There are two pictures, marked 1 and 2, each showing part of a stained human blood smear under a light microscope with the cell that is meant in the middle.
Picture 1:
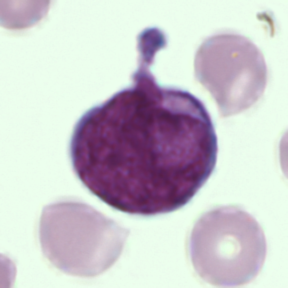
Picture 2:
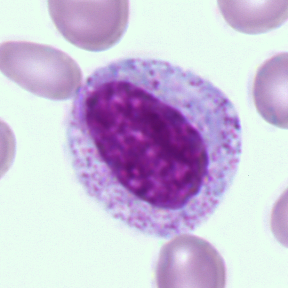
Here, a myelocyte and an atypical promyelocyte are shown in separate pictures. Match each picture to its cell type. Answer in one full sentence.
Picture 2 shows a myelocyte, while picture 1 shows an atypical promyelocyte.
